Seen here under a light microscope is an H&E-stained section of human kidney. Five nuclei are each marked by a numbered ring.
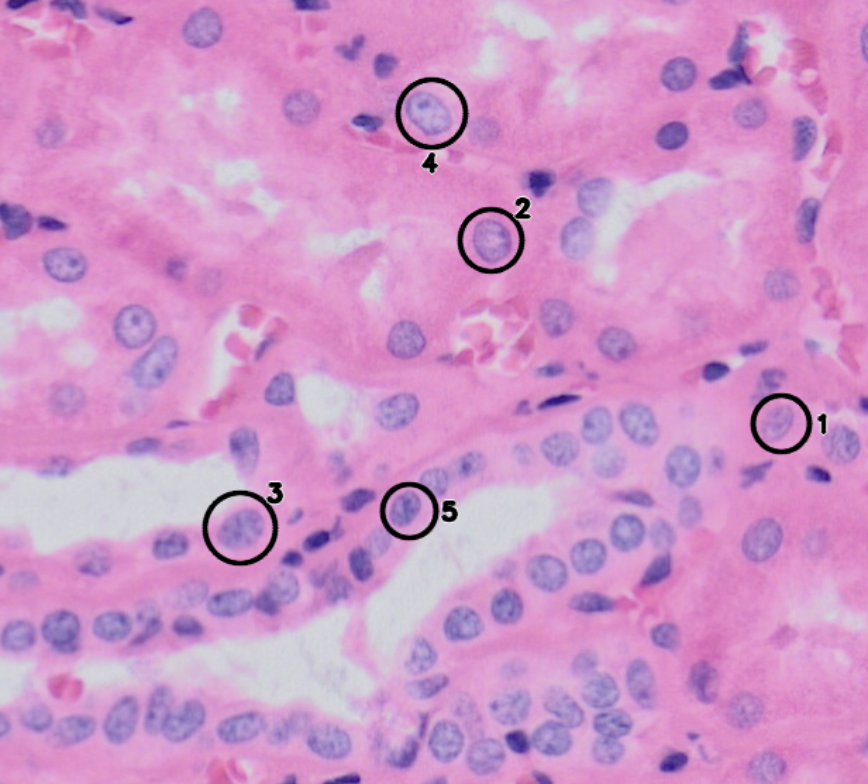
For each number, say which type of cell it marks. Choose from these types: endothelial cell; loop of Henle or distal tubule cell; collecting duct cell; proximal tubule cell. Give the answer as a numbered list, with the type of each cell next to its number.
1. loop of Henle or distal tubule cell
2. proximal tubule cell
3. loop of Henle or distal tubule cell
4. proximal tubule cell
5. collecting duct cell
